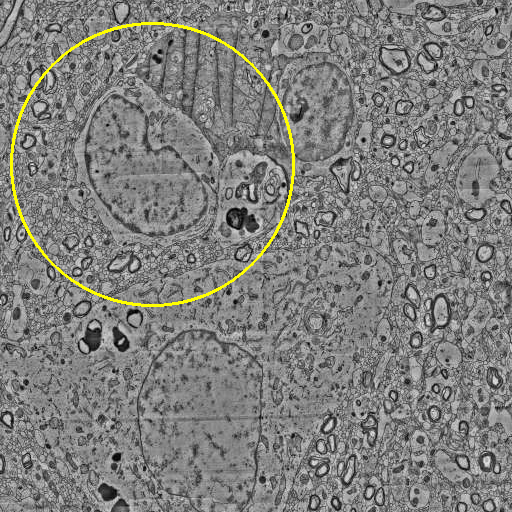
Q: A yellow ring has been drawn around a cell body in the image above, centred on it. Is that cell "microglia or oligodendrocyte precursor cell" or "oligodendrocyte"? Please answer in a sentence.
The ring surrounds the cell body of a microglial cell or oligodendrocyte precursor cell.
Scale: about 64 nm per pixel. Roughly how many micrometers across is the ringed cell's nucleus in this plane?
Roughly 10 micrometres long and 6 micrometres wide; in this plane the nucleus is clearly longer than it is wide.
